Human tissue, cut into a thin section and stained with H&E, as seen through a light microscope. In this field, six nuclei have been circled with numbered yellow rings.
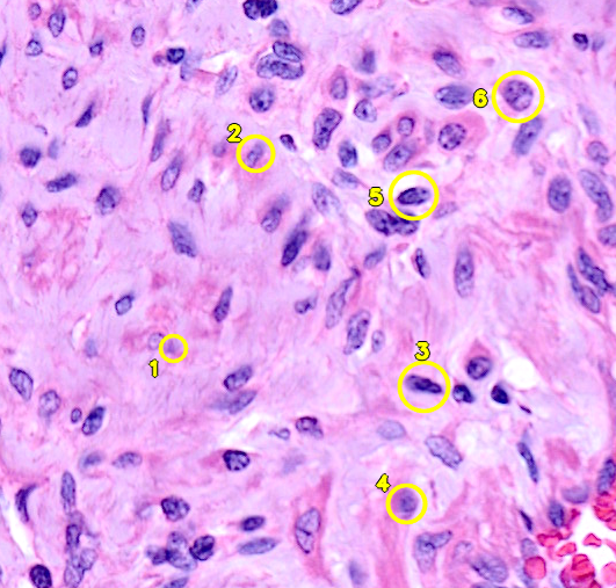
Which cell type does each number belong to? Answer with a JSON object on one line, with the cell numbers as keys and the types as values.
{"1": "smooth muscle cell", "2": "smooth muscle cell", "3": "lymphocyte", "4": "smooth muscle cell", "5": "lymphocyte", "6": "macrophage or monocyte"}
